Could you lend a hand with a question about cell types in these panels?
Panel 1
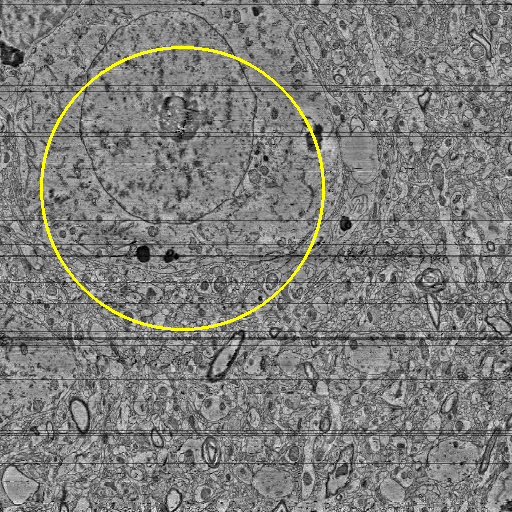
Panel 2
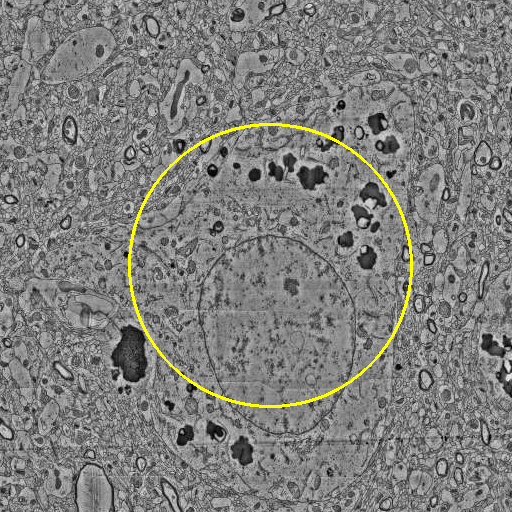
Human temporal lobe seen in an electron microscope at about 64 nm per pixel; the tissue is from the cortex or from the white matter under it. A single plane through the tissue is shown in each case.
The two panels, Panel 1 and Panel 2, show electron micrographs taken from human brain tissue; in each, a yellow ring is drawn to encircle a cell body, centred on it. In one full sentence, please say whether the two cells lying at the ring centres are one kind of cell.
Yes, the cells at the ring centres in the two panels are one kind of cell.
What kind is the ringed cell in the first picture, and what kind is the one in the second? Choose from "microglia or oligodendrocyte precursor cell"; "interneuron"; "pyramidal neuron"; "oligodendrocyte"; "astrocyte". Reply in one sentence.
Both cells are the same kind, each one being a pyramidal neuron.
